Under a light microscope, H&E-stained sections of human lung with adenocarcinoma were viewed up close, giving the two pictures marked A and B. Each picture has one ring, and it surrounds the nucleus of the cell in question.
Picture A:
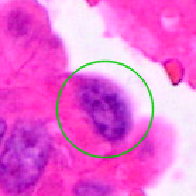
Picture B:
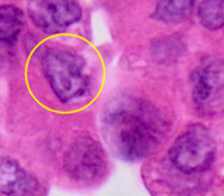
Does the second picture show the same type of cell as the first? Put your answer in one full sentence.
Yes, both cells are carcinoma cells.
